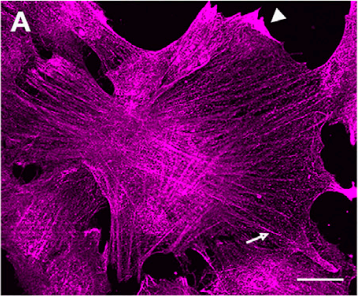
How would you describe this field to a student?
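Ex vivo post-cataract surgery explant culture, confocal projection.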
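The label appears as fine granules throughout the cytoplasm and is also aligned along long, straight stress fibers that cross the cell. At the cell borders, thin sheet-like lamellipodial protrusions at the leading edge are brightly labelled. Dark gaps between cells mark areas without cells.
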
